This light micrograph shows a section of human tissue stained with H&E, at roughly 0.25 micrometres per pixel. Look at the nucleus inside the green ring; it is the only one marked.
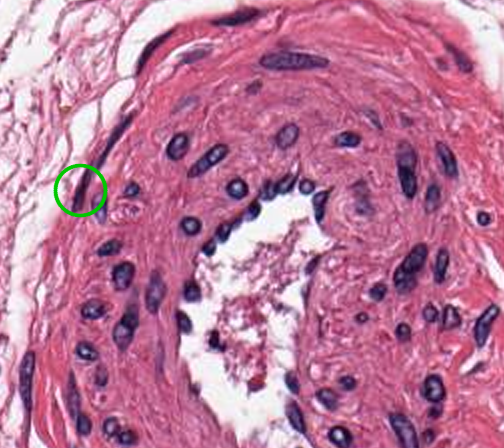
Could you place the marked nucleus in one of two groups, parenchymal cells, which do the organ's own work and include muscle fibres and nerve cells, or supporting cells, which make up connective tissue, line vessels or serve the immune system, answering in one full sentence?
Attributed to a supporting cell is the marked nucleus.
